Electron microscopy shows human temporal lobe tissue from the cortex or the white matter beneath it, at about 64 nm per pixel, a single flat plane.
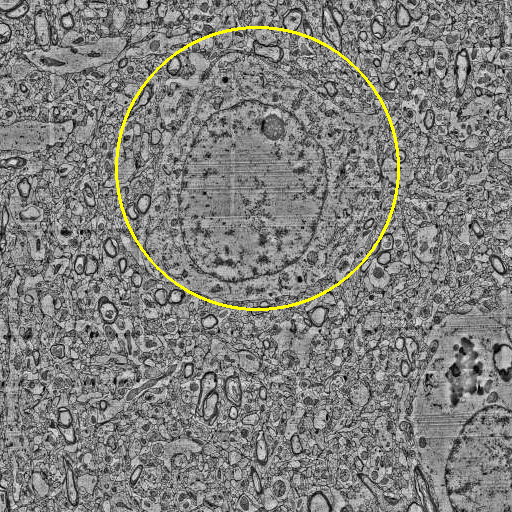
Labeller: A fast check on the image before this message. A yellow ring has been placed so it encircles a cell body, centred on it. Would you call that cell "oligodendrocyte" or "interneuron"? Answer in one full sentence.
In this image, an interneuron is the cell on which the yellow ring is centred.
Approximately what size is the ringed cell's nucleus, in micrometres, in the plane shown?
About 12 by 9 micrometers for the nucleus, in this plane.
